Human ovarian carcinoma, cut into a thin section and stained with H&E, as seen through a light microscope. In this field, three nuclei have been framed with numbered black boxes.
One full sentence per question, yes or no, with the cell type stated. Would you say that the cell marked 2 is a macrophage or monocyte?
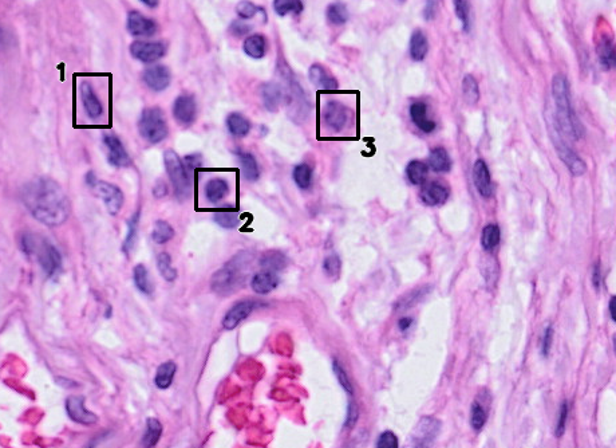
No, calling cell 2 a macrophage or monocyte is incorrect; it is a lymphocyte.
